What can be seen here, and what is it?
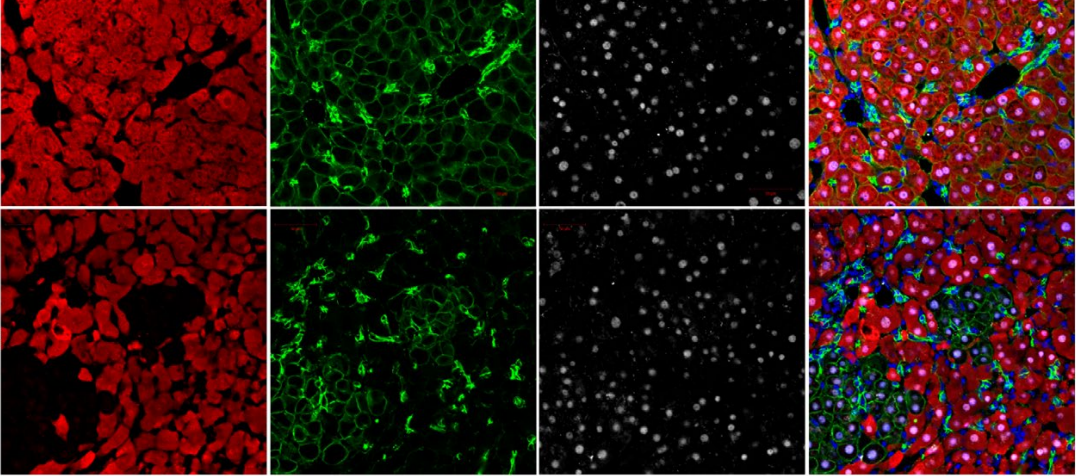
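This is liver tissue made up mostly of hepatocytes, large polygonal cells packed closely together in plates. Their outlines are drawn by a thin green membrane signal, and each has a large round nucleus that shows white in the nuclear channel. In most of the tissue the hepatocyte cytoplasm fills with red. Scattered between the hepatocytes are small clusters of much smaller cells with strong green outlines, lying near the dark gaps of vessels. In the lower row a patch of hepatocytes has cytoplasm without red, so it stands out as dark in the red channel, while its cells keep green membranes and nuclei that show white.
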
